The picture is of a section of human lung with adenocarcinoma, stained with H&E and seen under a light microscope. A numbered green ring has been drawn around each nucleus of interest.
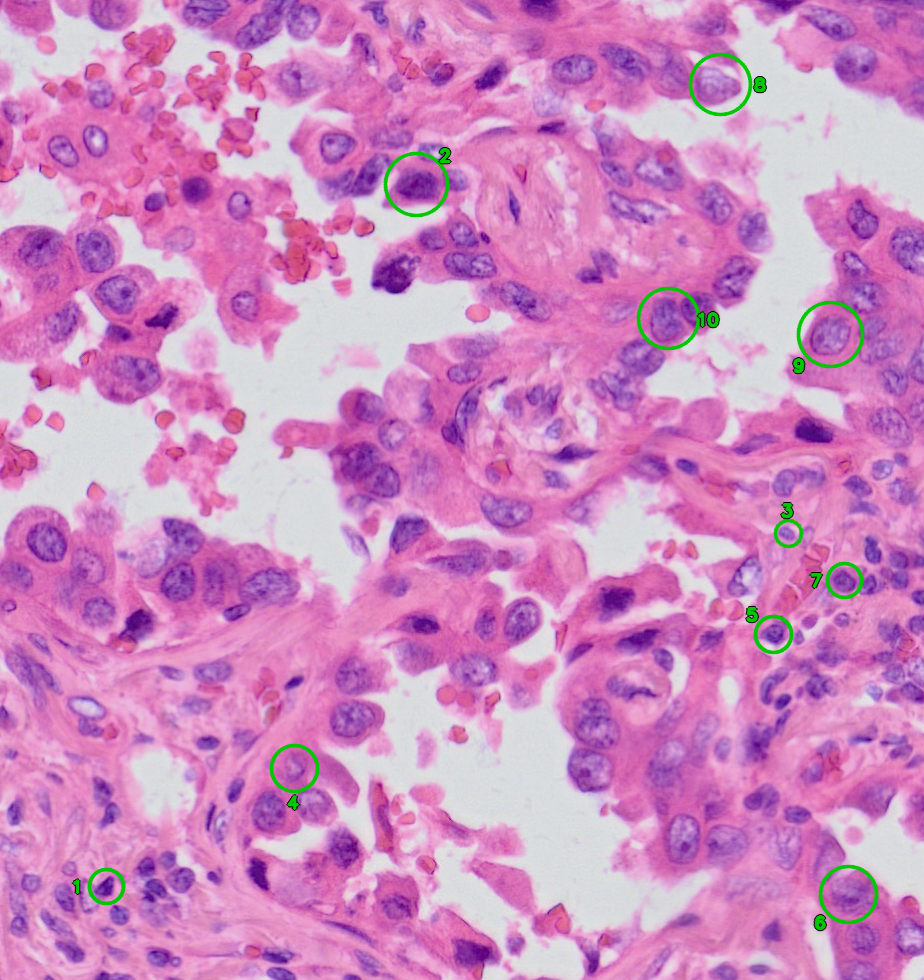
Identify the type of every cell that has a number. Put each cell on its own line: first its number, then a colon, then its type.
1: lymphocyte
2: carcinoma cell
3: lymphocyte
4: carcinoma cell
5: lymphocyte
6: carcinoma cell
7: plasma cell
8: carcinoma cell
9: carcinoma cell
10: carcinoma cell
